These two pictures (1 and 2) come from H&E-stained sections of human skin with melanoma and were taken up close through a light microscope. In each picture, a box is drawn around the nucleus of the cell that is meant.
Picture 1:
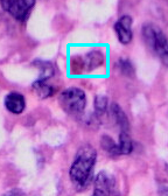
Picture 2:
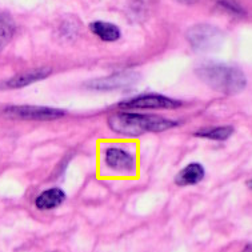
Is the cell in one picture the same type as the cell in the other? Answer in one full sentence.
No, picture 1 shows a “macrophage or monocyte” and picture 2 shows a lymphocyte.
